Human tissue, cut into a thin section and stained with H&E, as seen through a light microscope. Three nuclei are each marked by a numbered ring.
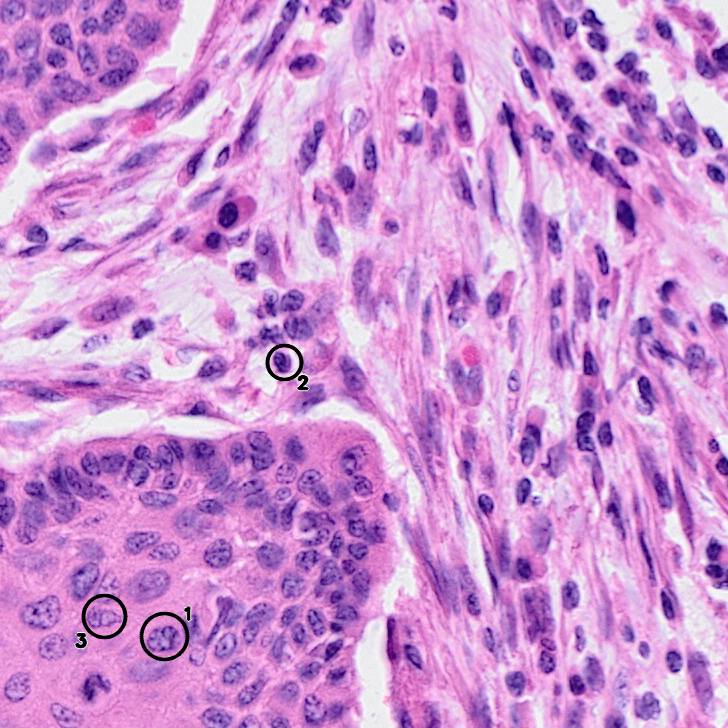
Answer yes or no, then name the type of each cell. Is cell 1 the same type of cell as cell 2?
No, cell 1 is a squamous carcinoma cell and cell 2 is a lymphocyte.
